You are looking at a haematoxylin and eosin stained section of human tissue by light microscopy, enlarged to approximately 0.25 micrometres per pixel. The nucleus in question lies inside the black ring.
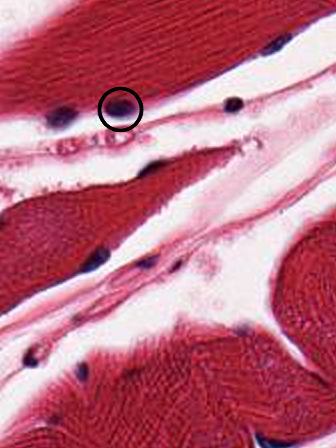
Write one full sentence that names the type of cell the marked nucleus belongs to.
It is a skeletal muscle fibre whose nucleus is marked.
